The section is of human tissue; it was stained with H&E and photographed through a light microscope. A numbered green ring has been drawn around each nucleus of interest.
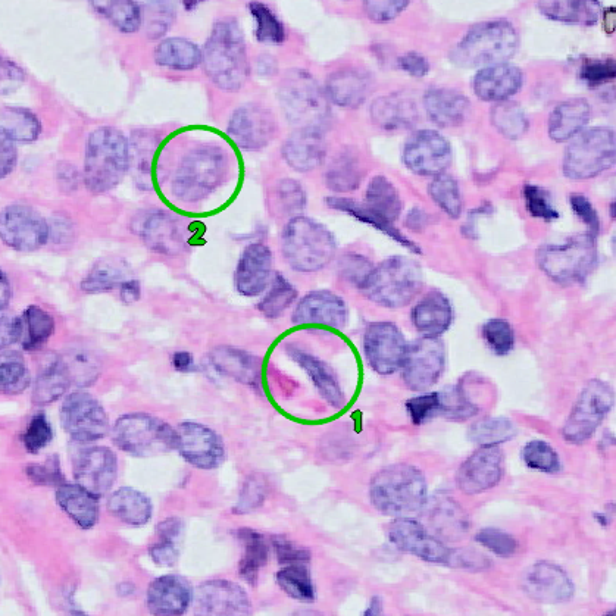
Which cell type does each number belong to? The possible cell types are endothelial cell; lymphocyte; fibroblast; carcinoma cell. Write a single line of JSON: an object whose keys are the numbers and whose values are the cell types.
{"1": "endothelial cell", "2": "carcinoma cell"}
